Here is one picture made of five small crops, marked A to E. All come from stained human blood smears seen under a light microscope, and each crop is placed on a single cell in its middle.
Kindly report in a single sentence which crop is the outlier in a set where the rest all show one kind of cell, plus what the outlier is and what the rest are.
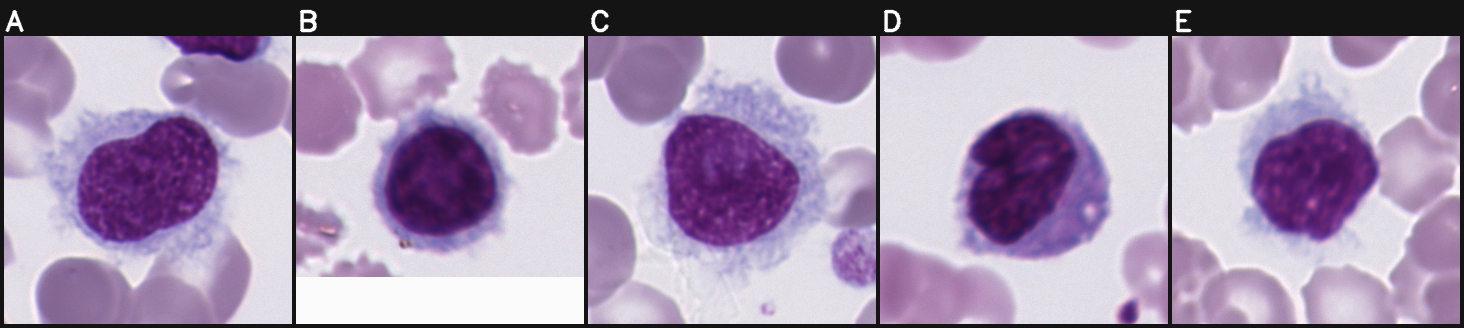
Of these crops, only crop D is a monocyte; the others are hairy cells.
